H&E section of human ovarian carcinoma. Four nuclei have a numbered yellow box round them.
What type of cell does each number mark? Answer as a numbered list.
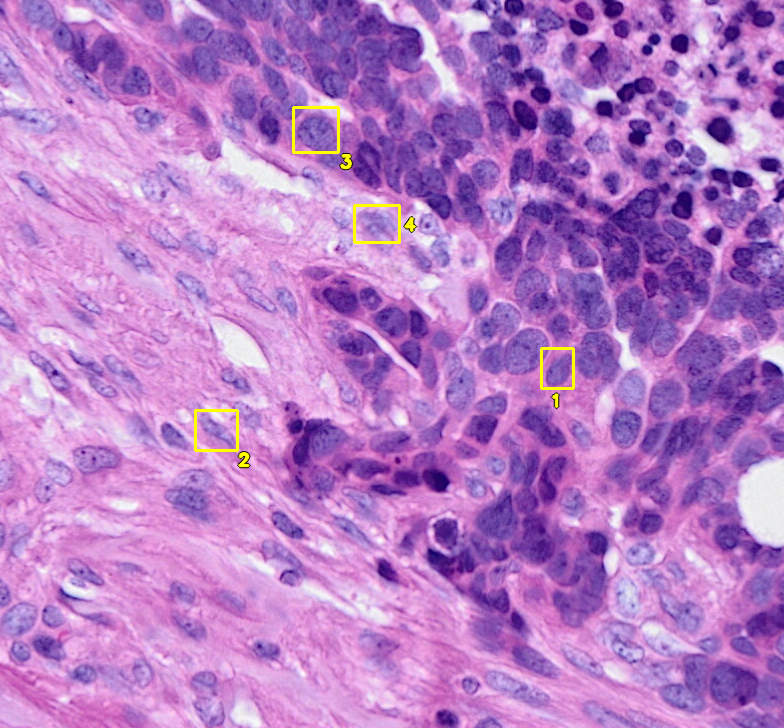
1. carcinoma cell
2. fibroblast
3. carcinoma cell
4. fibroblast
